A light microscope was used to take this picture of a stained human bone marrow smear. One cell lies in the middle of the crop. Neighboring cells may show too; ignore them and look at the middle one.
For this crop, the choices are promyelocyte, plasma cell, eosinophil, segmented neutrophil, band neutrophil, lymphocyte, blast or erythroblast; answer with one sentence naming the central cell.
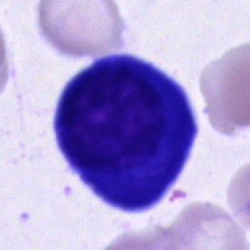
The center cell of this crop is a plasma cell.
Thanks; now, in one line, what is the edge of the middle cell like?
The edge of the cell is unbroken and smooth, bearing no projections.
